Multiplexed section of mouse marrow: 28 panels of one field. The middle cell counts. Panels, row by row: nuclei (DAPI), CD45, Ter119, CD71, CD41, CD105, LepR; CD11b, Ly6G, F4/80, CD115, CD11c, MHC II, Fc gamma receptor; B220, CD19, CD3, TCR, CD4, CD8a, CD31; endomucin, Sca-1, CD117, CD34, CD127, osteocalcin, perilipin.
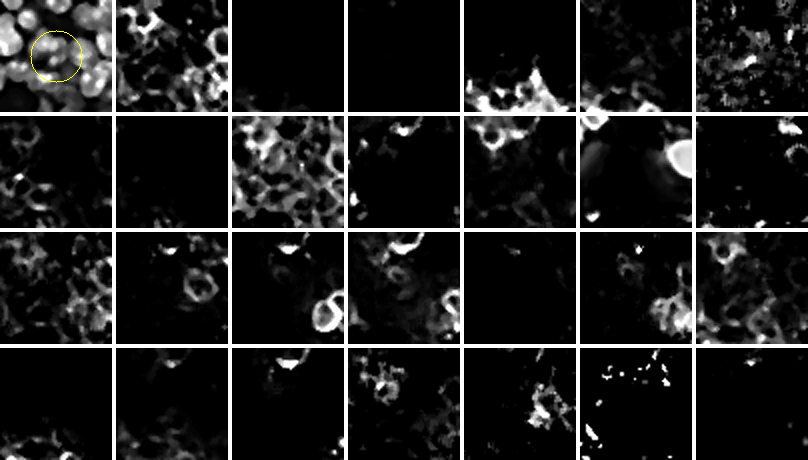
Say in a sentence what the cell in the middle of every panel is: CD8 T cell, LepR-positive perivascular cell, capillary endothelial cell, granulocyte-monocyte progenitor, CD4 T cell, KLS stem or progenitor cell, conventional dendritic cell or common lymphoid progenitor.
This is a LepR-positive perivascular cell.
